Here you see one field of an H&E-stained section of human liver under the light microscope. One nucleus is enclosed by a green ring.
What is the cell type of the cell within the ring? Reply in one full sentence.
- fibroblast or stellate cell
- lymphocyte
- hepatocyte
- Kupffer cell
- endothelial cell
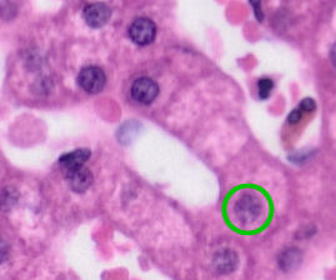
On this particular slide, the cell within the ring is a hepatocyte.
